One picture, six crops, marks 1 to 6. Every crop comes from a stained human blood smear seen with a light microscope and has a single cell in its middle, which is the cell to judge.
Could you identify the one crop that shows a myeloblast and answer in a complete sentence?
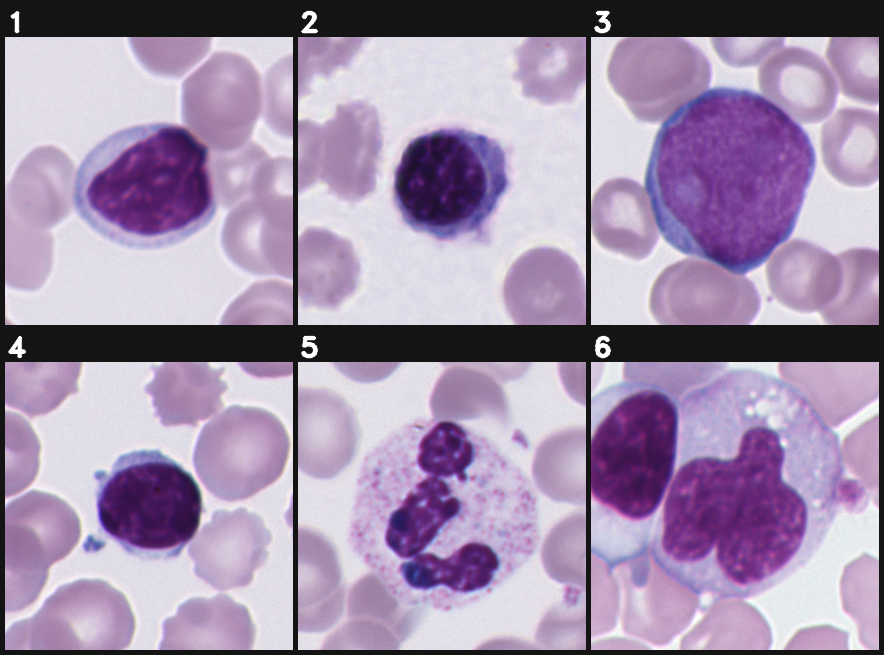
Crop 3 is where a myeloblast is shown.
